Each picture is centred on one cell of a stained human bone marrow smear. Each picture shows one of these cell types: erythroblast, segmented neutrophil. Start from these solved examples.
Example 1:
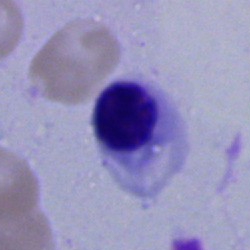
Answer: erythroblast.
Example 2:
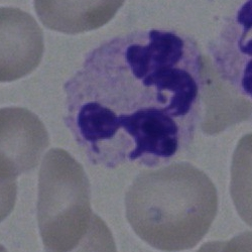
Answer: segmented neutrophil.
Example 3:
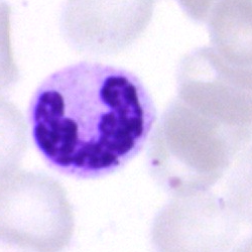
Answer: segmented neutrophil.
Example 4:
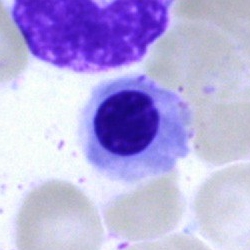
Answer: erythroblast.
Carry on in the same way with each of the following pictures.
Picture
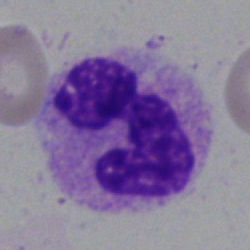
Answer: segmented neutrophil.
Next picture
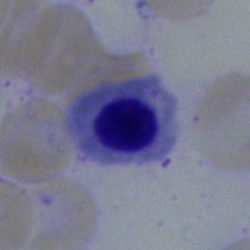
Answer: erythroblast.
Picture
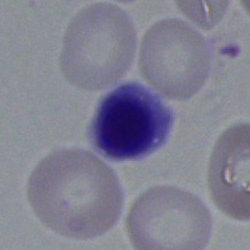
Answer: erythroblast.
